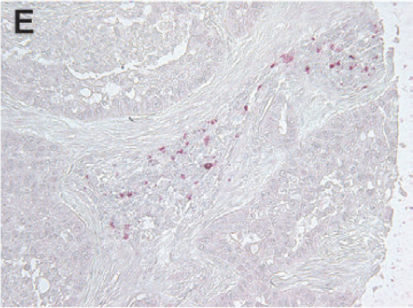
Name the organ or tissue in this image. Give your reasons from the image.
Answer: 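Nests of crowded epithelial cells are separated by bands of fibrous stroma. The epithelial nests lack an ordered normal layering. The answer: tumor tissue.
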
